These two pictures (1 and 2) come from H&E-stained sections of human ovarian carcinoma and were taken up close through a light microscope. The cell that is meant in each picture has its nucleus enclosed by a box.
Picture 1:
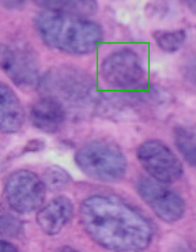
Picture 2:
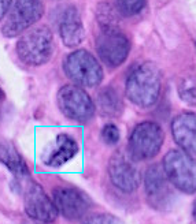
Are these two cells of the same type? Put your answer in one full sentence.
No, they differ: the cell is a carcinoma cell in picture 1 and a “macrophage or monocyte” in picture 2.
